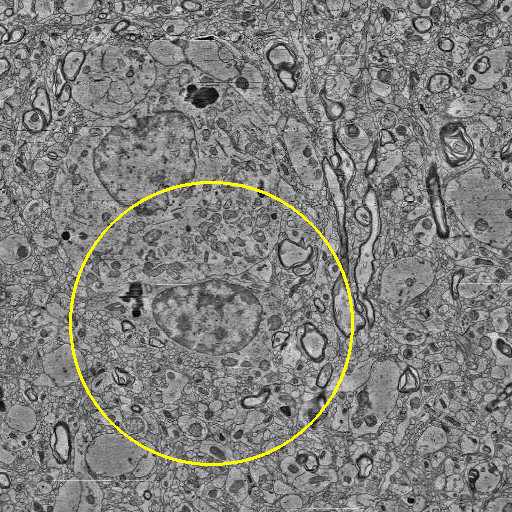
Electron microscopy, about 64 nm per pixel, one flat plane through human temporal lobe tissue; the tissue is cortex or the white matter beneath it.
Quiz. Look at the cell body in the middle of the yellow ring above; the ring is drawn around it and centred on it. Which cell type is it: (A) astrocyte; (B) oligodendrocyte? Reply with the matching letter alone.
B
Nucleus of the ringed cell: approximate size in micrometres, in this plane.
Roughly 7 micrometres by 5 micrometres, in this plane.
